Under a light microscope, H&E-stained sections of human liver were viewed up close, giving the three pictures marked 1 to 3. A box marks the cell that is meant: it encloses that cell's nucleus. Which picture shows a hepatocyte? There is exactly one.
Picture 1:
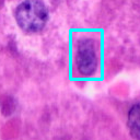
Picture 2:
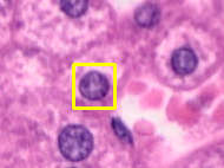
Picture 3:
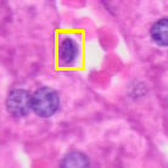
2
